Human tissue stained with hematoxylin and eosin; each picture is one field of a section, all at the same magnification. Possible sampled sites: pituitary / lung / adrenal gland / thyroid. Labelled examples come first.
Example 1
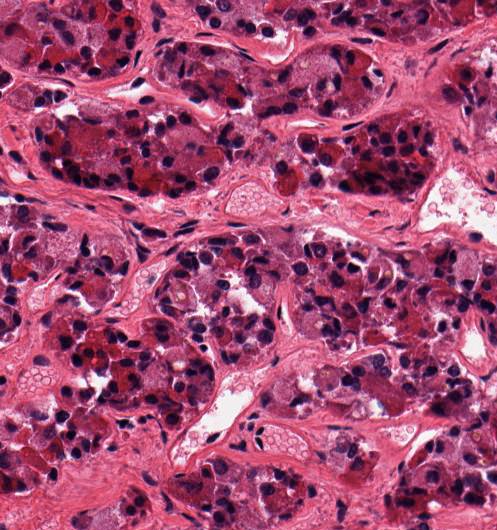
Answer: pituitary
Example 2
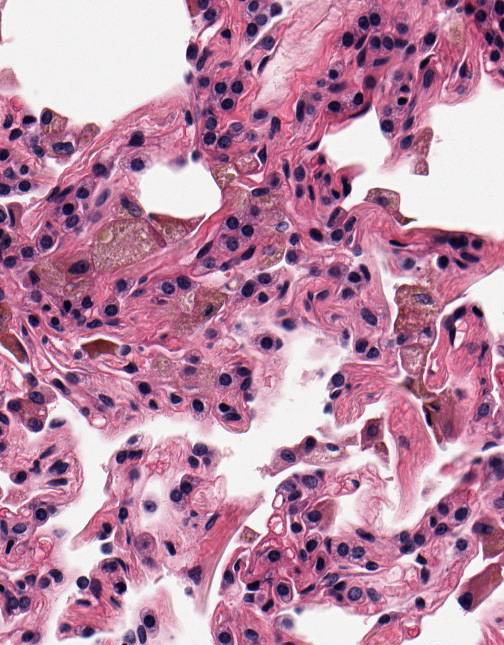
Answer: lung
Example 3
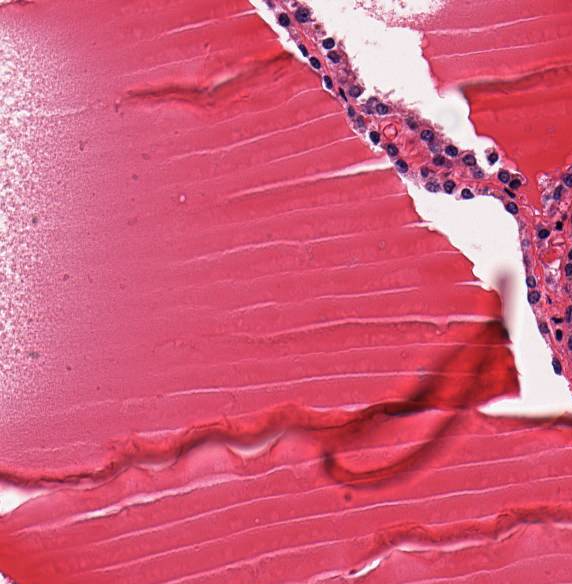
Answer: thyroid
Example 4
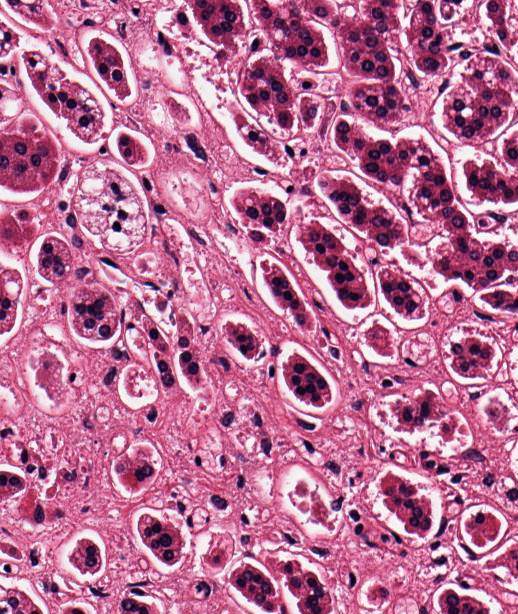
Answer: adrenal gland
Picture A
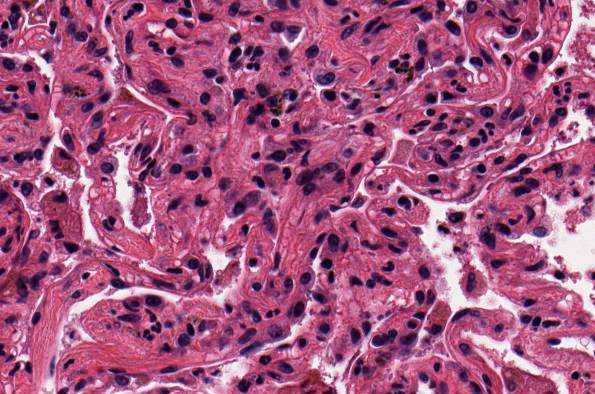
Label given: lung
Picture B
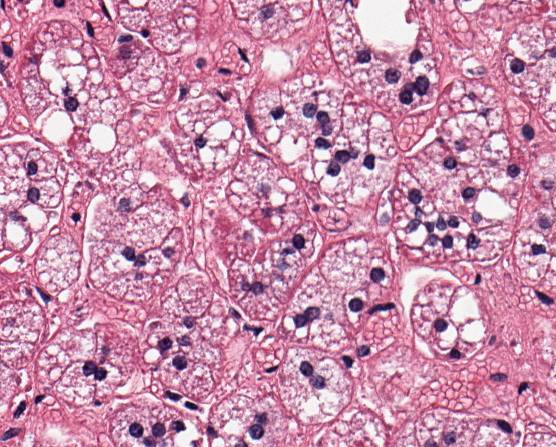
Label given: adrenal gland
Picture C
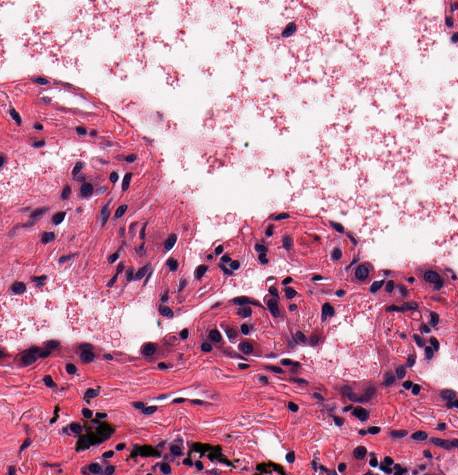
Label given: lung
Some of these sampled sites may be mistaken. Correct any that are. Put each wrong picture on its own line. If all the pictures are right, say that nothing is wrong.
None of the labels needs changing.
